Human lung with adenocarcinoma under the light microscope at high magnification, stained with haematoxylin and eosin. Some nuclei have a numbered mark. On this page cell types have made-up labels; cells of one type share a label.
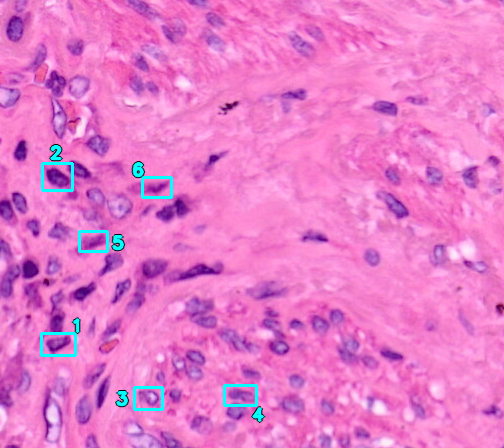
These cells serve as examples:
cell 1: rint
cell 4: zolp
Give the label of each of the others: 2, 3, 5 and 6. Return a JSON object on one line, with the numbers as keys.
{"2": "rint", "3": "zolp", "5": "rint", "6": "rint"}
